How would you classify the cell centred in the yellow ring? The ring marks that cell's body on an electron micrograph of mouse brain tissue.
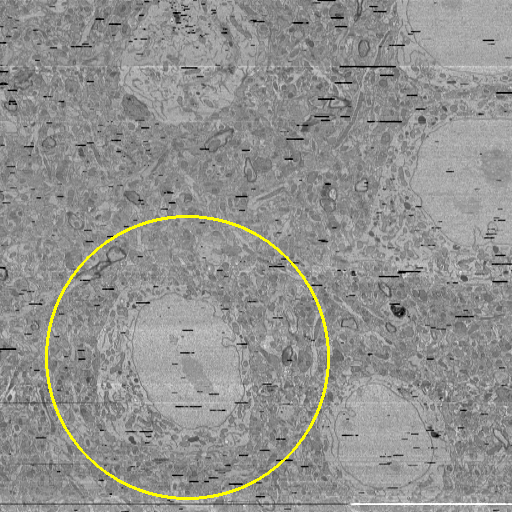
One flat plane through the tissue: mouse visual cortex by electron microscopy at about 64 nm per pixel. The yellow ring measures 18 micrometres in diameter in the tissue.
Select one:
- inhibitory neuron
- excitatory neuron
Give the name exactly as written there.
inhibitory neuron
